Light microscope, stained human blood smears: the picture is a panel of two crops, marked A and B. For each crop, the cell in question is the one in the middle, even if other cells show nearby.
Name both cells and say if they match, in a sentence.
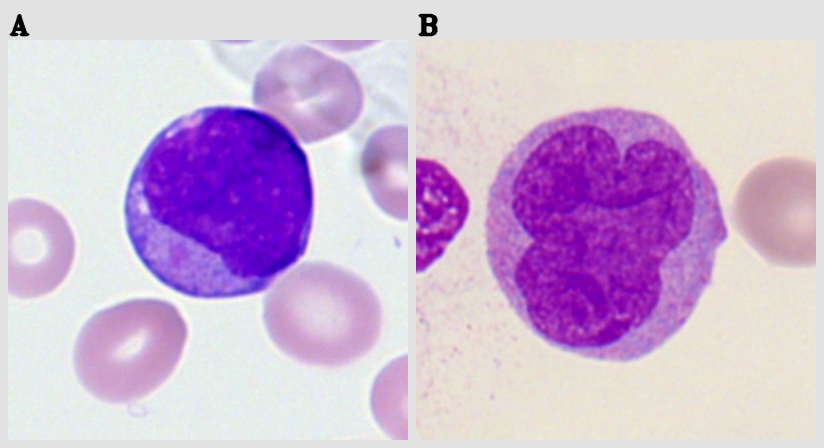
Yes, in the case of both crops, the central cells are myeloblasts.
